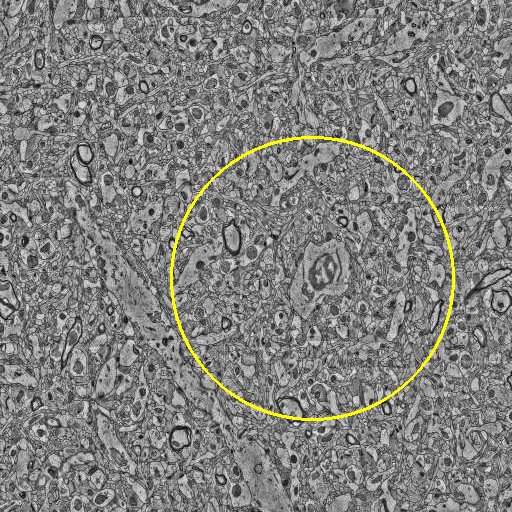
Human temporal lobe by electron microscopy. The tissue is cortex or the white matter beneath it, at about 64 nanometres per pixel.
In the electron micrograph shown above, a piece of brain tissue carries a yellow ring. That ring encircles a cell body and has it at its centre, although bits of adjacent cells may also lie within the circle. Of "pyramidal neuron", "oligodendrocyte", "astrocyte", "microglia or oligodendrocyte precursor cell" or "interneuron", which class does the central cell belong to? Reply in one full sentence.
The cell body at the centre of the yellow ring belongs to a microglial cell or oligodendrocyte precursor cell.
